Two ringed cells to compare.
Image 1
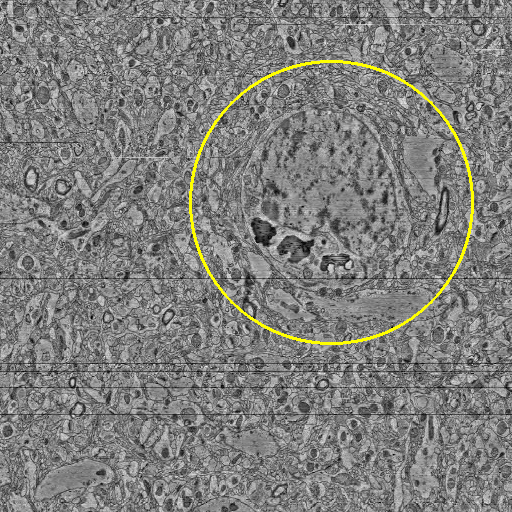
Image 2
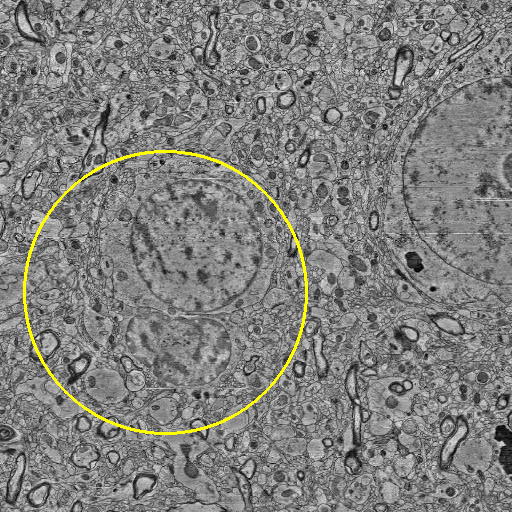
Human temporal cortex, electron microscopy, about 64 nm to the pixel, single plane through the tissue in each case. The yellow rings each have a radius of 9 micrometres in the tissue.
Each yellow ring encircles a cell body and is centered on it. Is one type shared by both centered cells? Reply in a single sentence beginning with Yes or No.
Yes, a single type is shared by the two cells at the centers of the rings.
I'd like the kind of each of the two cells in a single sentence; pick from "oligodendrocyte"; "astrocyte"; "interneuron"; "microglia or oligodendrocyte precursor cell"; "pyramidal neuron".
Both cells are the same kind, each one being an interneuron.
